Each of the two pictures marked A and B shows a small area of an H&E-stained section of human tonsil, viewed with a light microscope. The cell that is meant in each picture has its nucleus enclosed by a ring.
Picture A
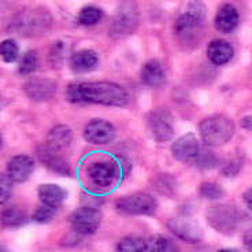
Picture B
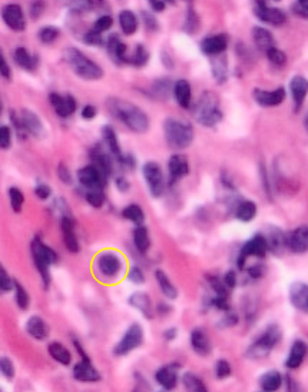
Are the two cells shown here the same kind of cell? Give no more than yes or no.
no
